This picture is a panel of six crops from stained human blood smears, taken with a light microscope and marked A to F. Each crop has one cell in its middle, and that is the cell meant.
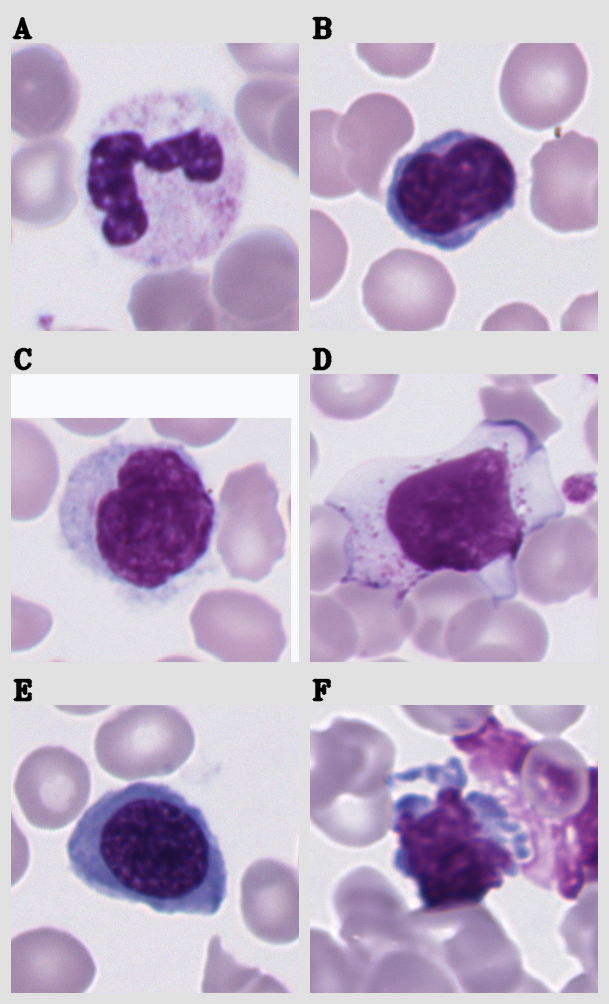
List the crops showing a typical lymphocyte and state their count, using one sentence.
Those crops showing typical lymphocytes, two in all, are B and F.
